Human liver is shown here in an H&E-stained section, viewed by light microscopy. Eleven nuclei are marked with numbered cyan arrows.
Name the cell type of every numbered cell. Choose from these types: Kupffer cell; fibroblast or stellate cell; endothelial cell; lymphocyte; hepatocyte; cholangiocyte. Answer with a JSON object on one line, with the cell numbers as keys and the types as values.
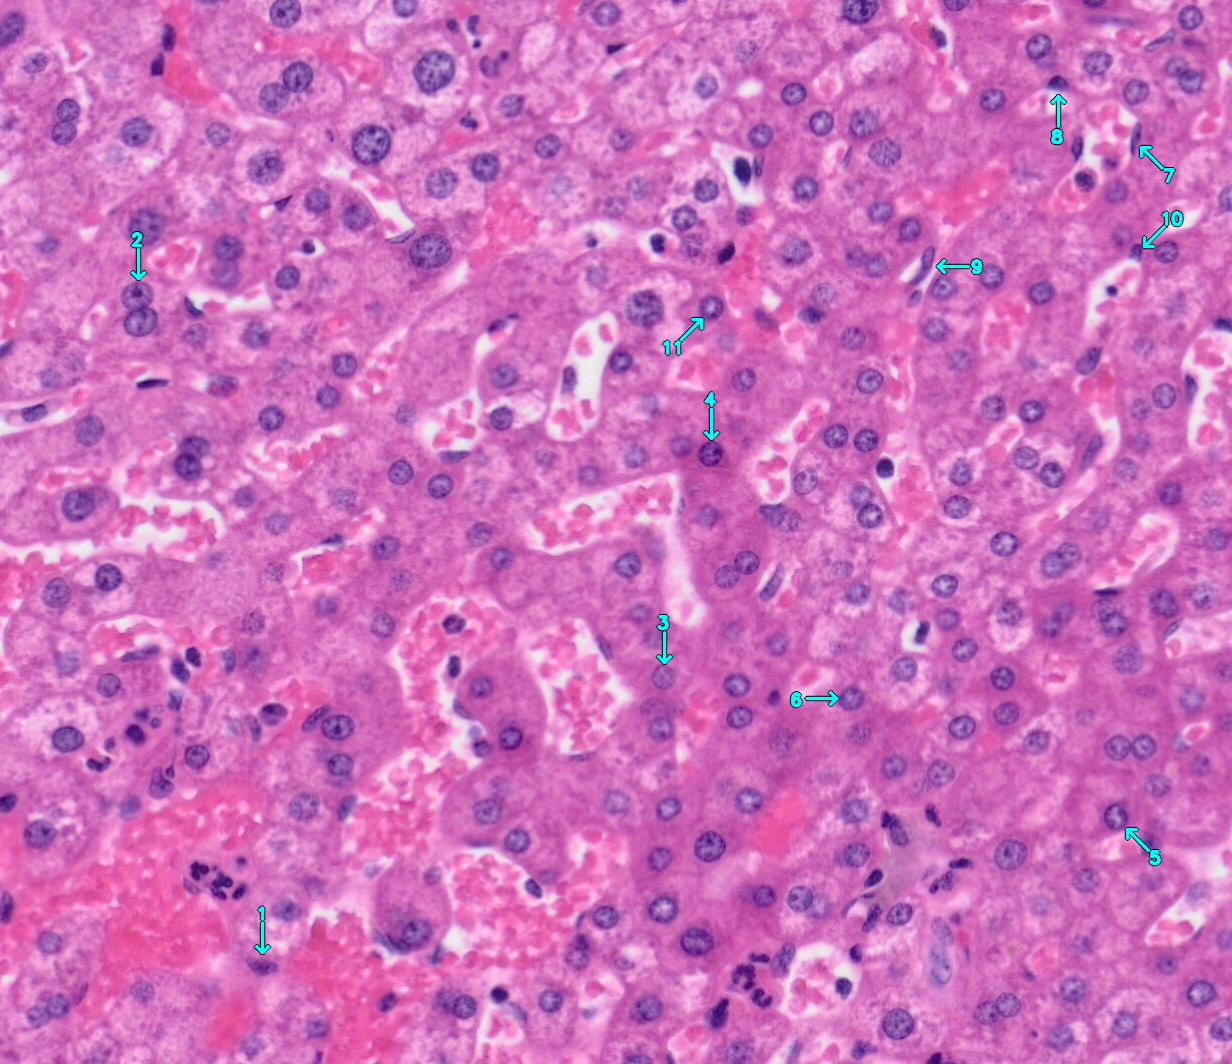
{"1": "fibroblast or stellate cell", "2": "hepatocyte", "3": "hepatocyte", "4": "hepatocyte", "5": "hepatocyte", "6": "hepatocyte", "7": "endothelial cell", "8": "fibroblast or stellate cell", "9": "Kupffer cell", "10": "fibroblast or stellate cell", "11": "hepatocyte"}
